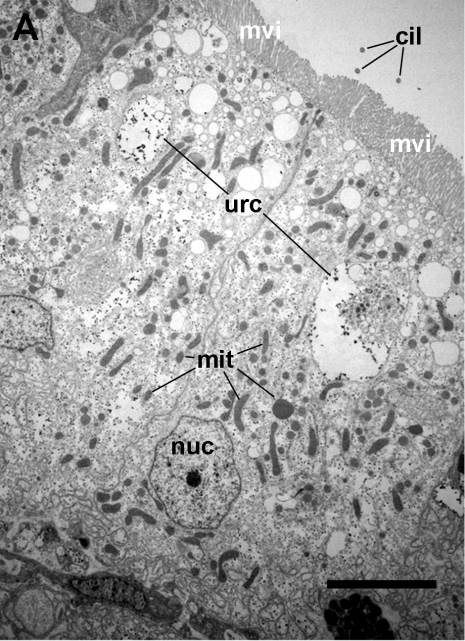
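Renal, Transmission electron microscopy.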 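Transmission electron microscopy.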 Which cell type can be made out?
Urinary epithelial cells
